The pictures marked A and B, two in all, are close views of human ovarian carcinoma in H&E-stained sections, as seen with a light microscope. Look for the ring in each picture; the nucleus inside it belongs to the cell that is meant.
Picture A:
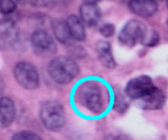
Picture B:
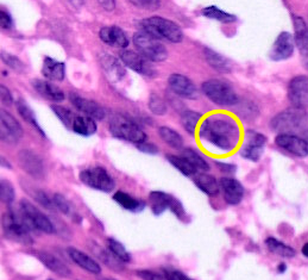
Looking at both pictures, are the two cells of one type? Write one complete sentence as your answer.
Yes; the cells in both pictures are carcinoma cells.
